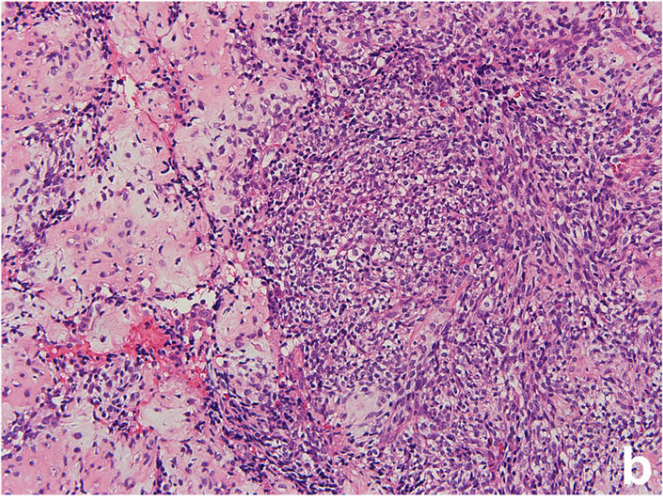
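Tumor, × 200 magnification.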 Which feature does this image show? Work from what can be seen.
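On the right, elongated cells run in loosely aligned streams. The streams change direction without sharp borders. On this evidence: vague fascicles.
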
